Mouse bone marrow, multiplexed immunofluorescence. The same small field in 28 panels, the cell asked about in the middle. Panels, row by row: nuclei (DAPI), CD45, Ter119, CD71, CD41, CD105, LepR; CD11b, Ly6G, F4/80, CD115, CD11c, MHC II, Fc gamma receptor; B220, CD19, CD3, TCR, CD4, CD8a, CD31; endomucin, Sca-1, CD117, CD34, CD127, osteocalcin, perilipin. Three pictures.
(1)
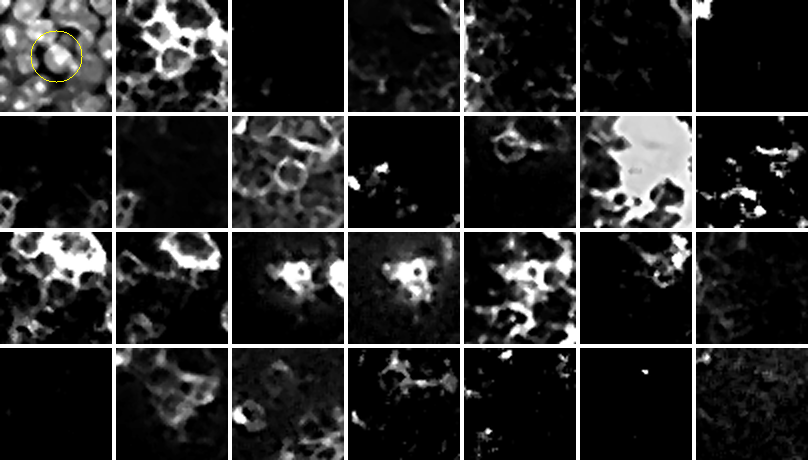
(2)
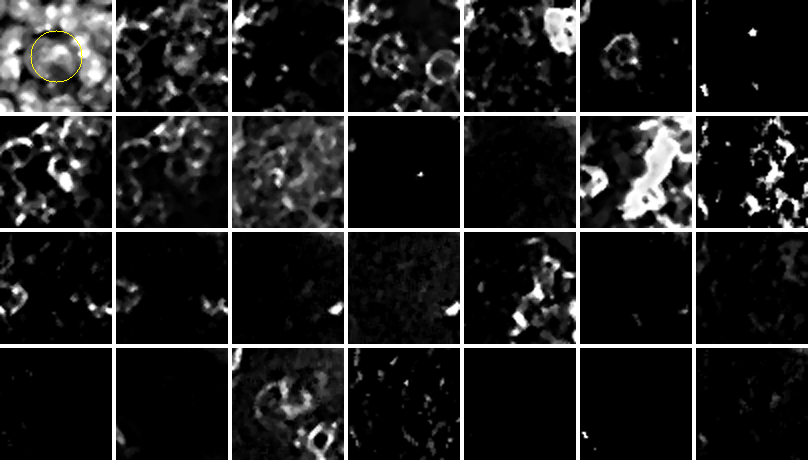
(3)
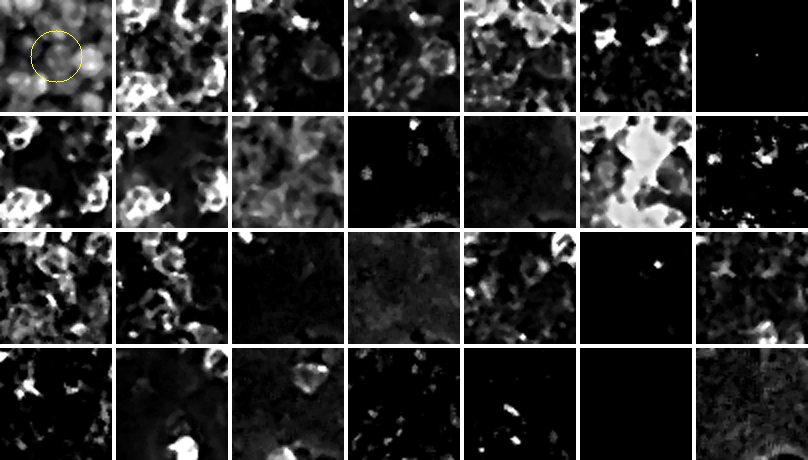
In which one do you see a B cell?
In picture 3.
